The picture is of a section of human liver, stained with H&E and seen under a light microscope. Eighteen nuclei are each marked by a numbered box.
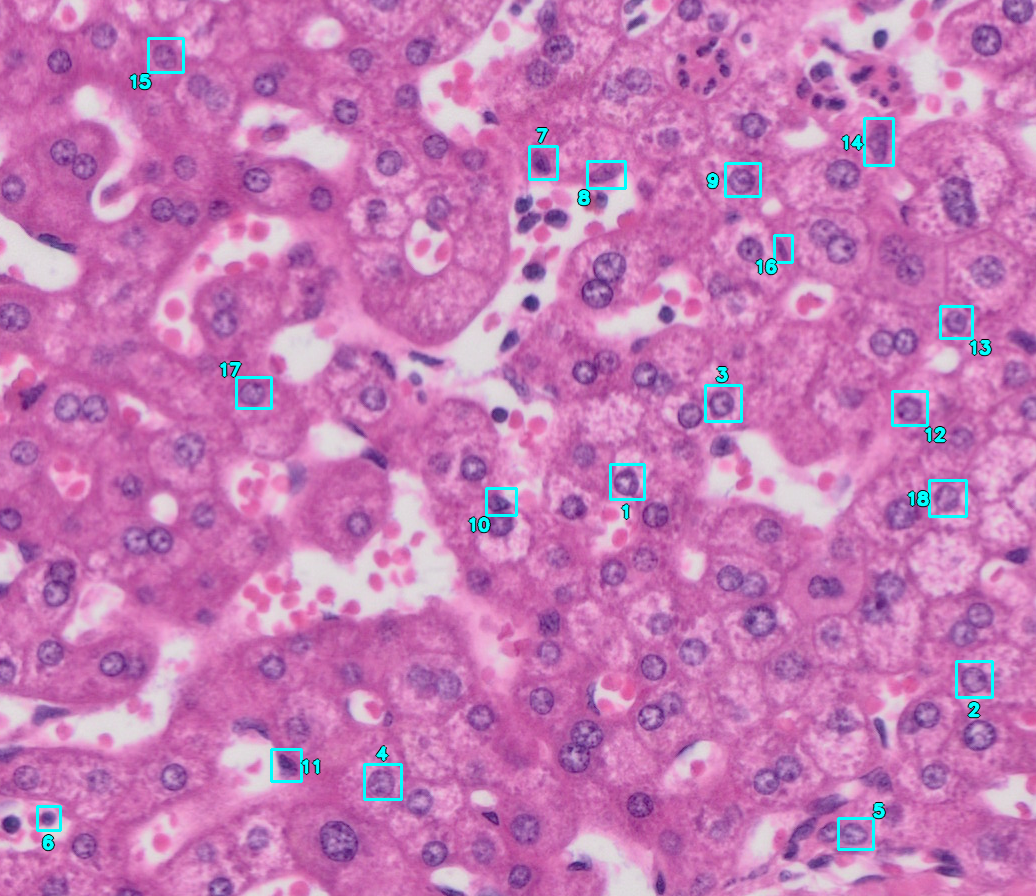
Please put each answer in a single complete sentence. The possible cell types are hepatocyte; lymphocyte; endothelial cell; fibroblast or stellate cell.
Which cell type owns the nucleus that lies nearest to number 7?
It is a lymphocyte whose nucleus is nearest to number 7.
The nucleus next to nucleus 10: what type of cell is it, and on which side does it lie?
It is a hepatocyte, whose nucleus lies below nucleus 10.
